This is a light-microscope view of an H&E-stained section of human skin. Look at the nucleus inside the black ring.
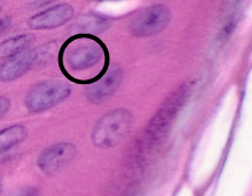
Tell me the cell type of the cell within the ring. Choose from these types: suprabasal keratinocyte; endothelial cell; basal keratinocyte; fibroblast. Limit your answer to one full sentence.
The identity of the cell within the ring: it is a suprabasal keratinocyte.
